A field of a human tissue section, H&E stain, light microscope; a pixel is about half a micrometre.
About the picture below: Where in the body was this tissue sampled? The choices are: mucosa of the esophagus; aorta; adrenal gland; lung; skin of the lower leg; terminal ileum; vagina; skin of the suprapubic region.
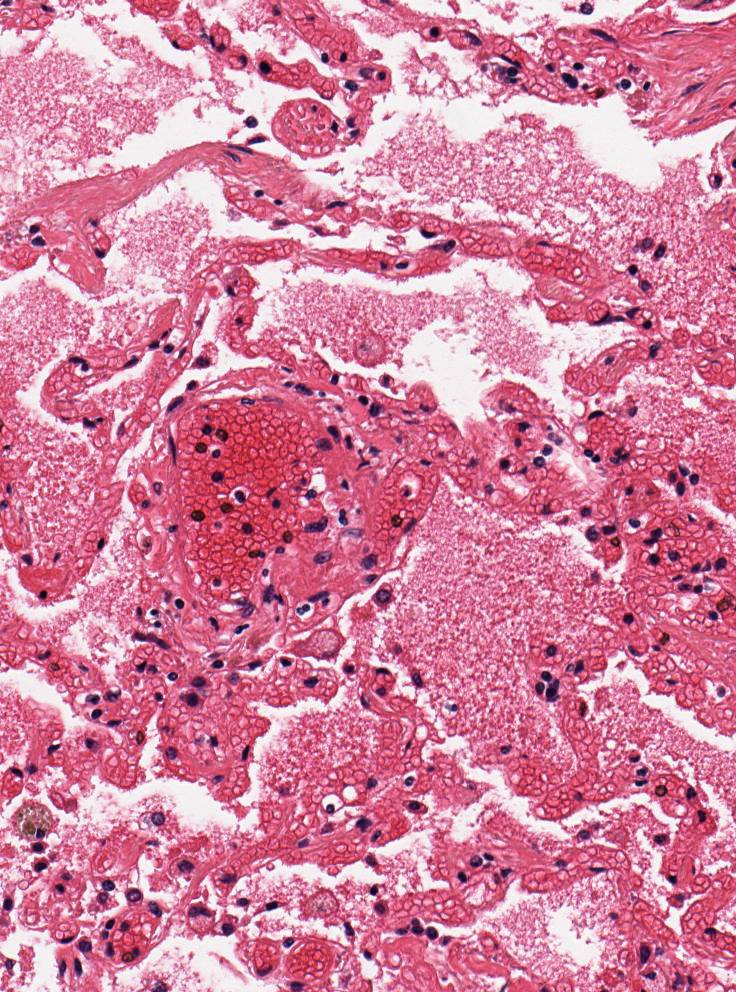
lung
